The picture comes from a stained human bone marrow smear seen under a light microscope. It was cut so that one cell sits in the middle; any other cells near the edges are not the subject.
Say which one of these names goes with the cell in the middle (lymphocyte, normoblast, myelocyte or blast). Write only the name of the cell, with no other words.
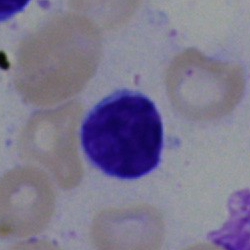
lymphocyte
